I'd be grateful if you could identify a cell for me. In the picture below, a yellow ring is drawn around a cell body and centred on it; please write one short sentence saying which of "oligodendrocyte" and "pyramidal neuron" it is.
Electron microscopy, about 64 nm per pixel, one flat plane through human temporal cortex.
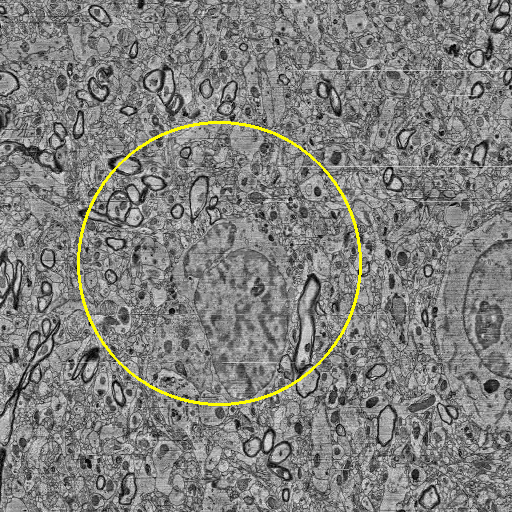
The cell under the ring's centre is an oligodendrocyte.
